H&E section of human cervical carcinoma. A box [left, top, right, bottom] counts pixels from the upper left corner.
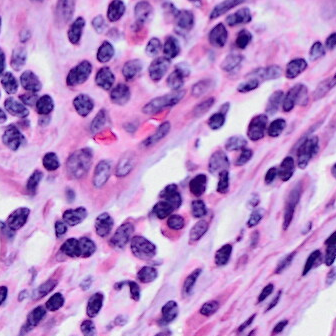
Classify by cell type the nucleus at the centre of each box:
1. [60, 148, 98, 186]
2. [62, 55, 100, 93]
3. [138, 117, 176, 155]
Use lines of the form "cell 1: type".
cell 1: endothelial cell
cell 2: lymphocyte
cell 3: endothelial cell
